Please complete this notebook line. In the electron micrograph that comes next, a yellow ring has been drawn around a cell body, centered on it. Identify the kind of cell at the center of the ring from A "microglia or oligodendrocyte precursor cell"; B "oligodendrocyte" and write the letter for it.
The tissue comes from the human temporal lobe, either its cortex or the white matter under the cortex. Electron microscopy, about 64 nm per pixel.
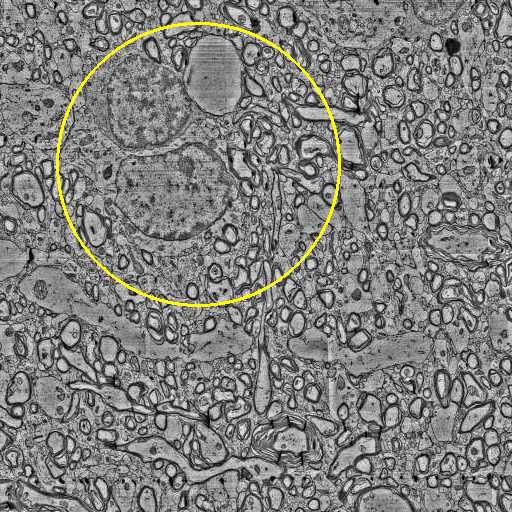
A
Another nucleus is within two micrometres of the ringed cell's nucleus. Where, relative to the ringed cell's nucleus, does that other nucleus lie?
The second nucleus lies to the upper left of it.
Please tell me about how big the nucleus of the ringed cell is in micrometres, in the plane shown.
In this plane, roughly 8 by 6 micrometres.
